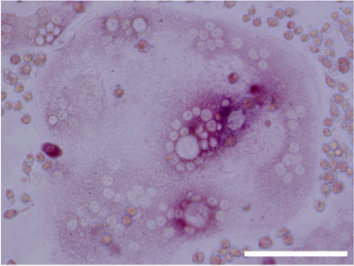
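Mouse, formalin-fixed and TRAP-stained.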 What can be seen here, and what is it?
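The cell is rounded and widely spread, with pale pink-purple cytoplasm and a broad, faintly outlined margin. Near its centre lies a cluster of many round, pale nuclei and clear vacuole-like spaces, ringed by deeper purple stain; a smaller group of such nuclei sits just below it. Many small, round, unstained or yellowish single cells lie around the large cell and over its outer part, a few of them stained dark purple. The large cell is many times the size of these single cells.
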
